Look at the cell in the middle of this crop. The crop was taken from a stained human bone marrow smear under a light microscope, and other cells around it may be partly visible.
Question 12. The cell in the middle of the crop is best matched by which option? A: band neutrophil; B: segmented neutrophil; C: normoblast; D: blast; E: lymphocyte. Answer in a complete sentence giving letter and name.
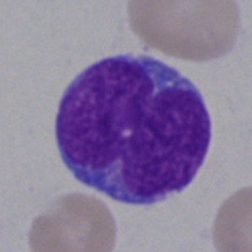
The right choice is option D: the cell in the middle is a blast.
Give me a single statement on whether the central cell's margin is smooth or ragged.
The outline traces a smooth curve with no projections along it.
